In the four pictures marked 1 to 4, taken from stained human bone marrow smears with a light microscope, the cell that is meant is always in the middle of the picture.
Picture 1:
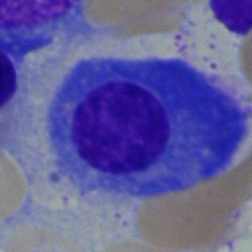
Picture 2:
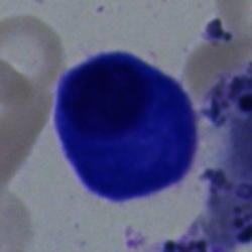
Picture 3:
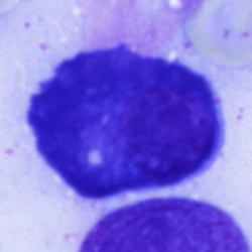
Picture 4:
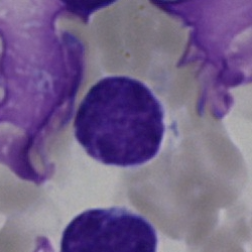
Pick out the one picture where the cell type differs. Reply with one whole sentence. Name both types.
Picture 4 differs, because its cell is a lymphocyte and the rest are plasma cells.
